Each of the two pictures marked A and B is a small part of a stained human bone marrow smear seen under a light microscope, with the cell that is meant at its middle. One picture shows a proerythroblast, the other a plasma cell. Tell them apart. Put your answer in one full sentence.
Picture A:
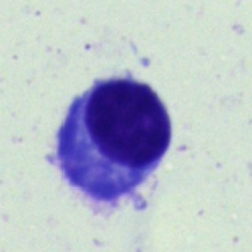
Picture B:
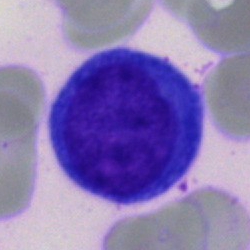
Picture A is of a plasma cell, and picture B is of a proerythroblast.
